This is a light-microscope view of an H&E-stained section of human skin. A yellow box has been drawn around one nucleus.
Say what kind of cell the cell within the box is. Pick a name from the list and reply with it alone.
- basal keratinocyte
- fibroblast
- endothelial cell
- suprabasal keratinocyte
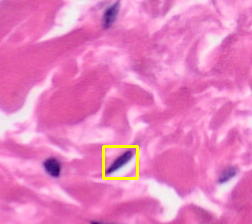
fibroblast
